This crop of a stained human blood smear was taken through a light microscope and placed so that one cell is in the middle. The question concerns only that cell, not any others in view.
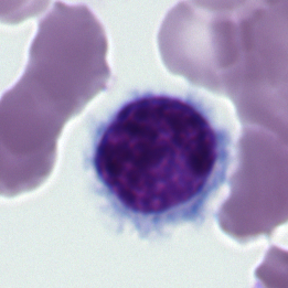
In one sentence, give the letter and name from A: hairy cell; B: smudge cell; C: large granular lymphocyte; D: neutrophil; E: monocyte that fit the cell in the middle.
For this crop, option A is right, the centered cell being a hairy cell.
